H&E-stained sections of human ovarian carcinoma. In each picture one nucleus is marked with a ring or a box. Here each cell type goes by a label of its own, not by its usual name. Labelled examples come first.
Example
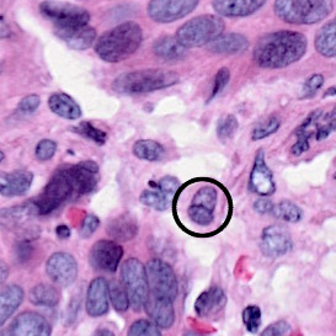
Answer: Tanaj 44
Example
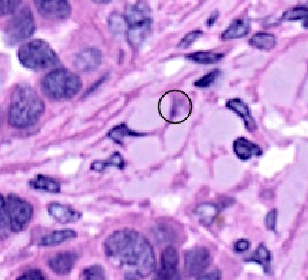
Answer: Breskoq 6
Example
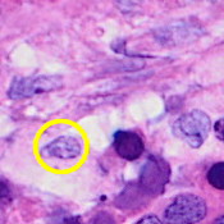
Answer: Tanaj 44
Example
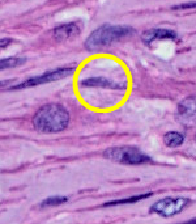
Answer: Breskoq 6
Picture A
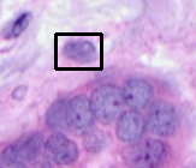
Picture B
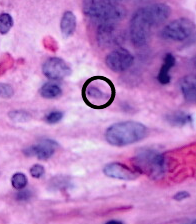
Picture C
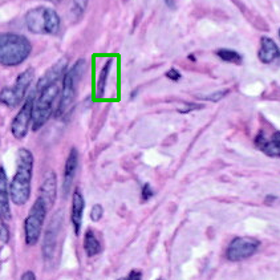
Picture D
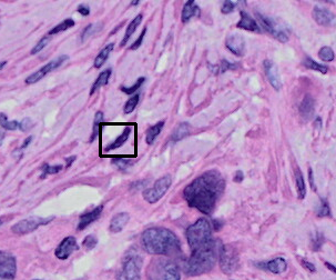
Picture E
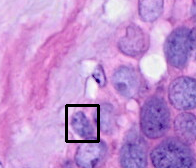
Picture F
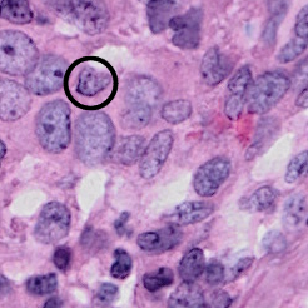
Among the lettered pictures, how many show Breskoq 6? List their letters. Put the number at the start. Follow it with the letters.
2: C, D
